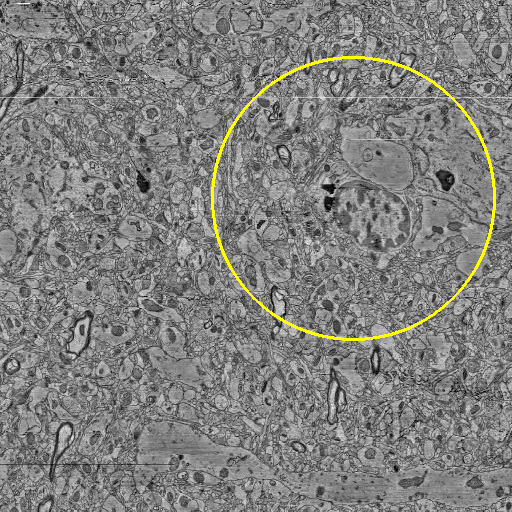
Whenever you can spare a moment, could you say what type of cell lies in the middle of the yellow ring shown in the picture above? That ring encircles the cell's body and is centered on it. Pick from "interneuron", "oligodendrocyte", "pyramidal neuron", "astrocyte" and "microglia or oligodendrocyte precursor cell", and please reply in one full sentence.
The cell whose body sits at the middle of the yellow ring is a microglial cell or oligodendrocyte precursor cell.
